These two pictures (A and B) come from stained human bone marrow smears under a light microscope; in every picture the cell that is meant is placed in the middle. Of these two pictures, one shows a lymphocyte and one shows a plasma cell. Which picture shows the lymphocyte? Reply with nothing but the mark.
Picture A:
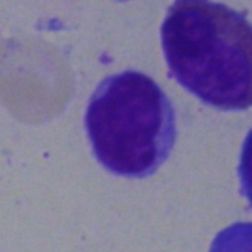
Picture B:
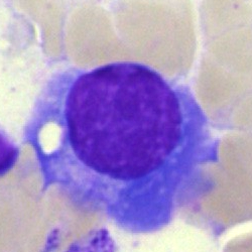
A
